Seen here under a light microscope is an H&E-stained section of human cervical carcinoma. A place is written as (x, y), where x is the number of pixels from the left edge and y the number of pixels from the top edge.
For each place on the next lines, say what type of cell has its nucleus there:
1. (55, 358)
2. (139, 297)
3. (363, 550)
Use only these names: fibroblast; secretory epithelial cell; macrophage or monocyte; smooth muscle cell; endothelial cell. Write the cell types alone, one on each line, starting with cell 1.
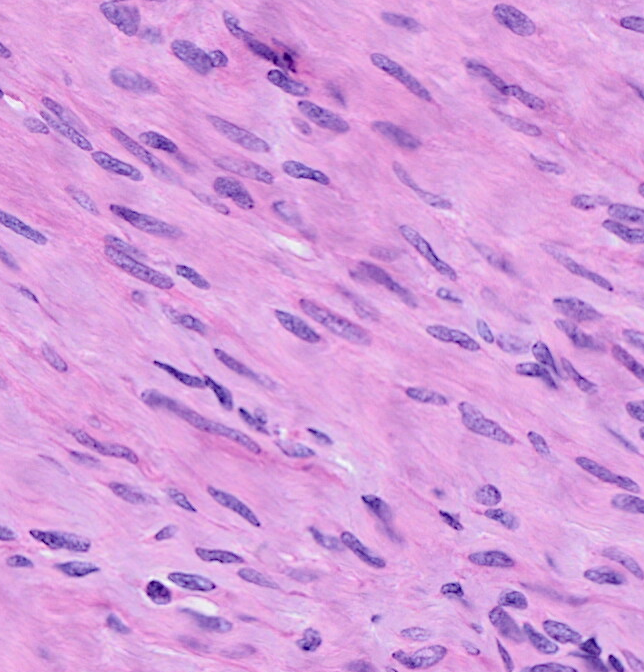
smooth muscle cell
smooth muscle cell
fibroblast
